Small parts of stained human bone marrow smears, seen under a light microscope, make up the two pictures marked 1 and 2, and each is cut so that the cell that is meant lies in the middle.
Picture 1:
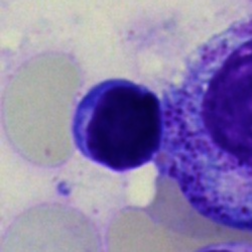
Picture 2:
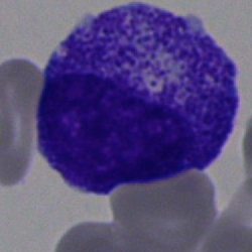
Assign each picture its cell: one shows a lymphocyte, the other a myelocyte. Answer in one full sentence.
Picture 2 shows a myelocyte, while picture 1 shows a lymphocyte.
